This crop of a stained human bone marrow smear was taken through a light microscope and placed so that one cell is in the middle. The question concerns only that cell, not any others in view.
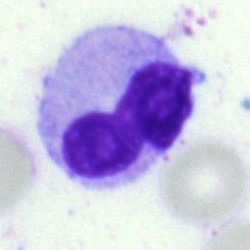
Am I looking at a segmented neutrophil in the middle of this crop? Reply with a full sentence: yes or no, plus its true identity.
No, the cell positioned in the middle is a band neutrophil, not a segmented neutrophil.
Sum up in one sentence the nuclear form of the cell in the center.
What stands out is the nucleus, split into two or more lobes.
